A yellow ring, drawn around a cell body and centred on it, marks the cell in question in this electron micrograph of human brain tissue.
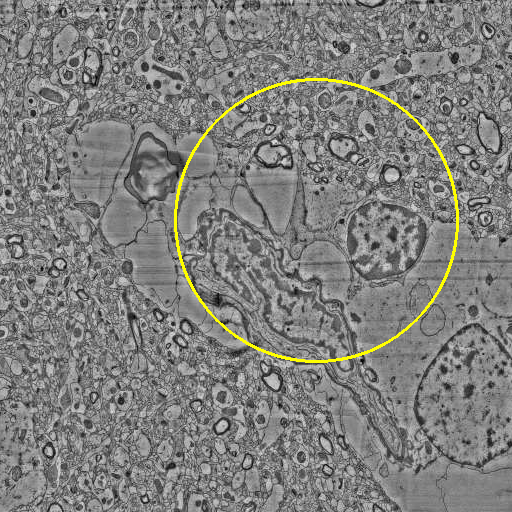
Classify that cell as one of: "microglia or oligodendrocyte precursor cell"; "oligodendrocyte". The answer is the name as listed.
microglia or oligodendrocyte precursor cell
